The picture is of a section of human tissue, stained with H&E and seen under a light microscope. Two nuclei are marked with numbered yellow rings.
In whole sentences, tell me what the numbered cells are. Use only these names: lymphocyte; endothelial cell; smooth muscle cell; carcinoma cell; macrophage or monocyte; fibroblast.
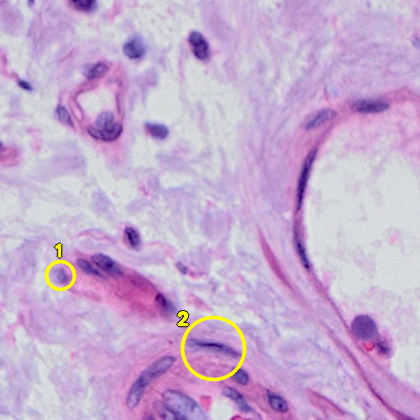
Cell 1 is a smooth muscle cell and cell 2 is a fibroblast.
